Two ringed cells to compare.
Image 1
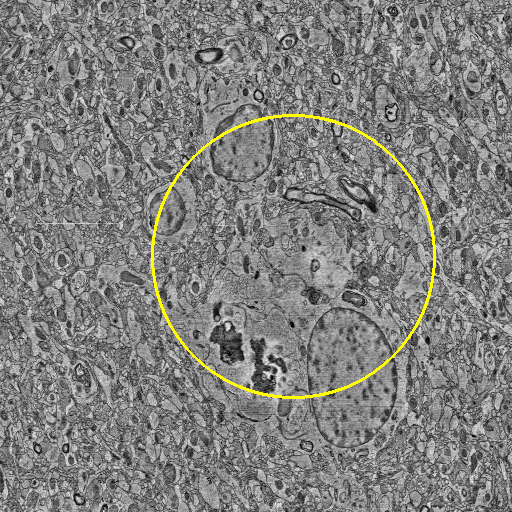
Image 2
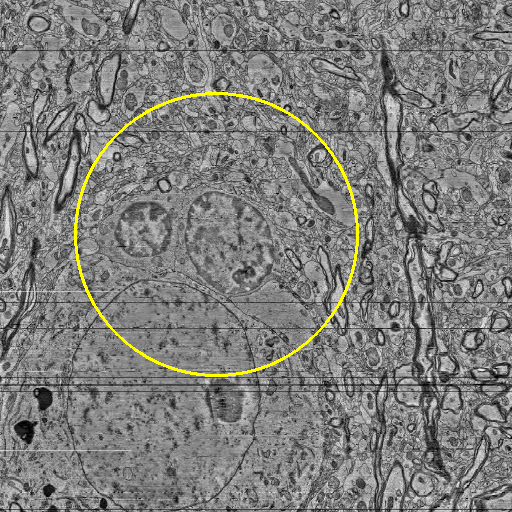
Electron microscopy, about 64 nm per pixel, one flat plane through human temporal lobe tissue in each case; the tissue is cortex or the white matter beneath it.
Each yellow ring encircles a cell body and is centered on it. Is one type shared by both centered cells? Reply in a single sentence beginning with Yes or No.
No, two types are found among the cells at the centers of the rings.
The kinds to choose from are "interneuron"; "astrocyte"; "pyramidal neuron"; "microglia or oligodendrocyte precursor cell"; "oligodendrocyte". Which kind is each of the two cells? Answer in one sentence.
Of the two, the first cell is an astrocyte and the second cell is an oligodendrocyte.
